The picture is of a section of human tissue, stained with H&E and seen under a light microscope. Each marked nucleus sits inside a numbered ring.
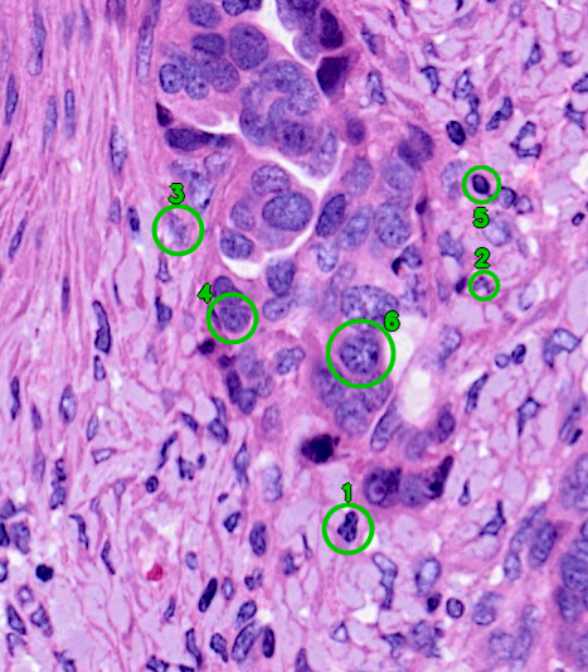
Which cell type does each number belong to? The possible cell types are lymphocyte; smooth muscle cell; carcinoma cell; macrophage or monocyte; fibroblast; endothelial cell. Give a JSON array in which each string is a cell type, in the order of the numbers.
["lymphocyte", "fibroblast", "fibroblast", "carcinoma cell", "lymphocyte", "carcinoma cell"]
